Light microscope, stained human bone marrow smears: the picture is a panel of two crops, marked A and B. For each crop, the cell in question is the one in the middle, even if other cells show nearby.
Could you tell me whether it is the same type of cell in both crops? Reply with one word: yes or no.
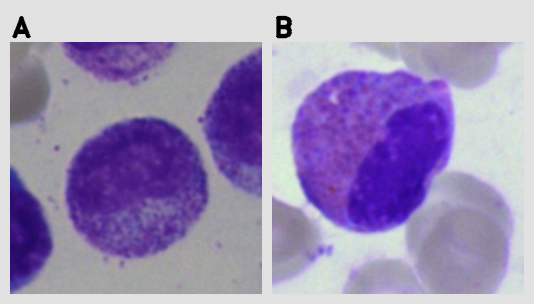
no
